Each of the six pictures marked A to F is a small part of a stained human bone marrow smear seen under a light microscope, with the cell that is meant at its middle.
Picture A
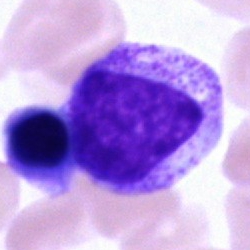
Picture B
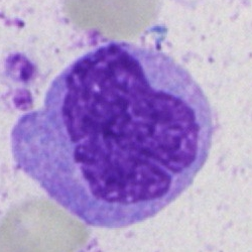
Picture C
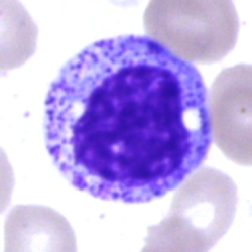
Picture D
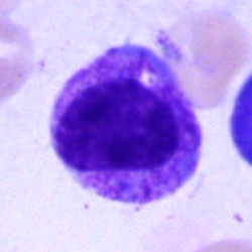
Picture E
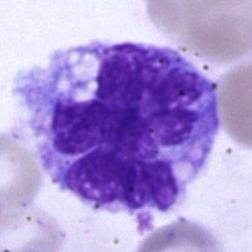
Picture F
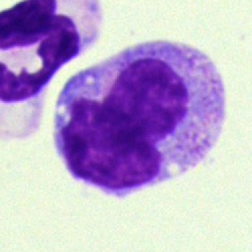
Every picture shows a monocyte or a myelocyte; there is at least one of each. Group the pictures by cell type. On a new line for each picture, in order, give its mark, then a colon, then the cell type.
A: myelocyte
B: monocyte
C: myelocyte
D: myelocyte
E: monocyte
F: monocyte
